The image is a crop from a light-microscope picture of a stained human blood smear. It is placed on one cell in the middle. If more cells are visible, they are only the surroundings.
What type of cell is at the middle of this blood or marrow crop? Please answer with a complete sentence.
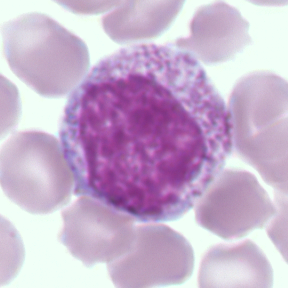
Centrally within this crop lies a myelocyte.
